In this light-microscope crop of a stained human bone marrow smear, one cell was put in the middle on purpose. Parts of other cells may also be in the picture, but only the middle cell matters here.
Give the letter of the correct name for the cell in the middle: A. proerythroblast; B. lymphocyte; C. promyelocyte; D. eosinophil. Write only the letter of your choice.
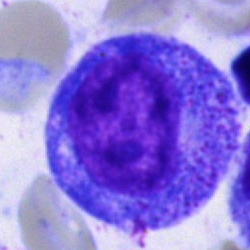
C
